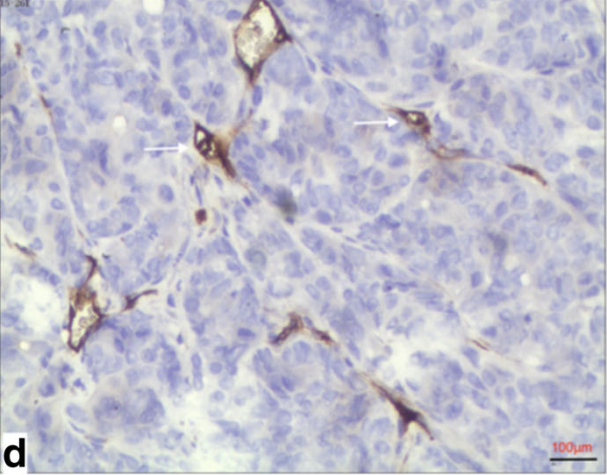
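The tumour cells have oval, pale blue nuclei and pale cytoplasm, arranged in solid nests. Between the nests, scattered brown-lined vessels with open, empty lumens appear, some angular in shape, with thin brown cell extensions trailing along the narrow septa between the nests. The vessels are few and widely spaced relative to the large mass of unstained tumour cells.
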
